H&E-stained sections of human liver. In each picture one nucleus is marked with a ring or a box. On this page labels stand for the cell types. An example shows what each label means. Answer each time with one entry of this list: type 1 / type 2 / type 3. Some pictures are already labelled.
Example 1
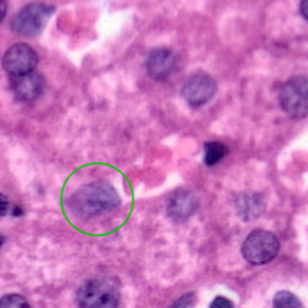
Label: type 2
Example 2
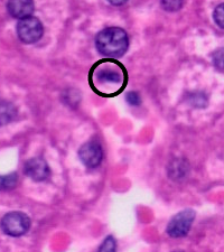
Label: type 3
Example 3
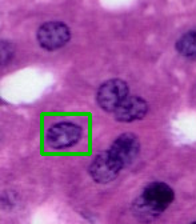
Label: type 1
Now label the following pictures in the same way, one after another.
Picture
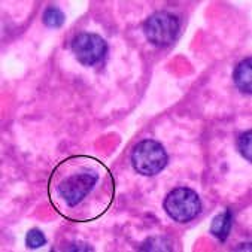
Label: type 2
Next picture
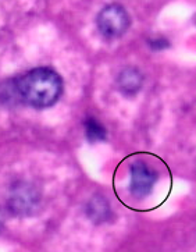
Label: type 2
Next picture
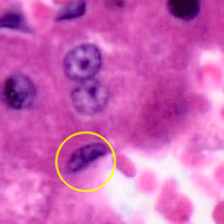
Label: type 3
